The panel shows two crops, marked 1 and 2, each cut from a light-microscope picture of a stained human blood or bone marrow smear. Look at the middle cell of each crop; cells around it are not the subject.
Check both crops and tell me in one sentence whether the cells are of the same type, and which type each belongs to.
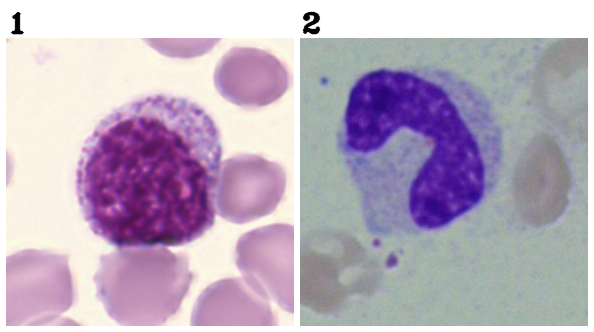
No, a band neutrophil is the cell of crop 2, while a metamyelocyte is the cell of crop 1.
